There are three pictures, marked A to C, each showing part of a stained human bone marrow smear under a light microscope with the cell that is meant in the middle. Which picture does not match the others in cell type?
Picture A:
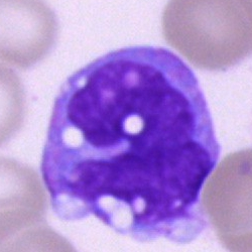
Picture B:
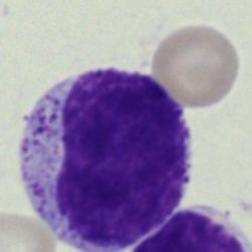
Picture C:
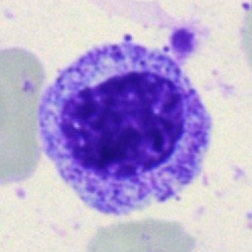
A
